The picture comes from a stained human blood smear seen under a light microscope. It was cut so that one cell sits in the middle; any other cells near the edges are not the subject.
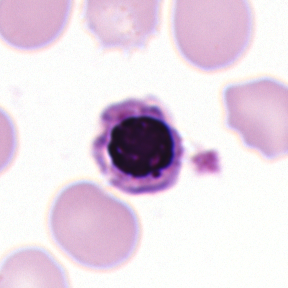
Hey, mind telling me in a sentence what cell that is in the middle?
Positioned in the middle of the crop is a normoblast.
